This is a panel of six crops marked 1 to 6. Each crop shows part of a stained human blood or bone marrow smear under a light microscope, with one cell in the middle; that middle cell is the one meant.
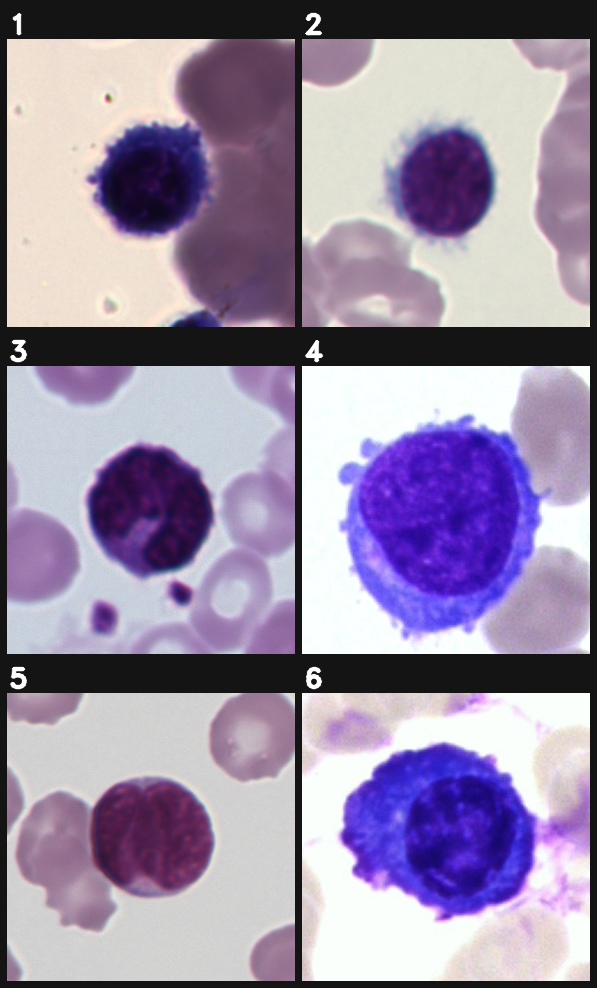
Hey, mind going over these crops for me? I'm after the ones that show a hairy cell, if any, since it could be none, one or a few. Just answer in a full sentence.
Crop 2 stands alone as the crop containing a hairy cell.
